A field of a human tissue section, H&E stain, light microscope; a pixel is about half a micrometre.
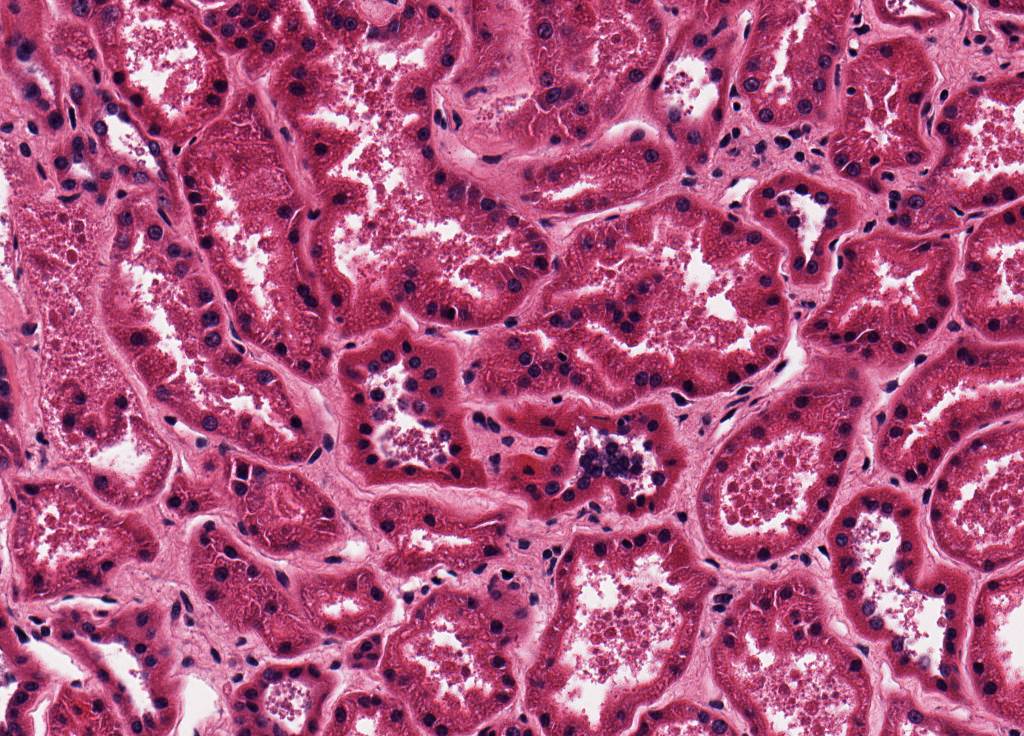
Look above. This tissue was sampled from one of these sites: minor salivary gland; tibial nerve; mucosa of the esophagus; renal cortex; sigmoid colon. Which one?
renal cortex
